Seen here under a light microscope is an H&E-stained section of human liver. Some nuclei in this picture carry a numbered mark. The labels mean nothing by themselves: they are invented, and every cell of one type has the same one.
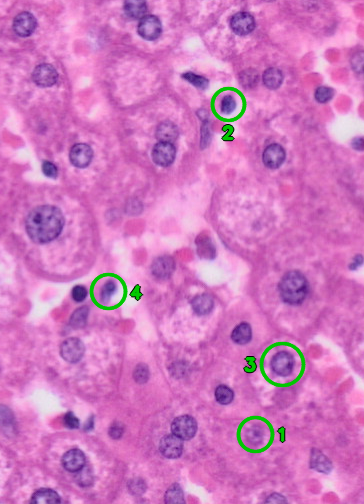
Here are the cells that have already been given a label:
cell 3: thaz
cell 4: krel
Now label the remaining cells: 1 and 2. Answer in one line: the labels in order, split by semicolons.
thaz; krel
